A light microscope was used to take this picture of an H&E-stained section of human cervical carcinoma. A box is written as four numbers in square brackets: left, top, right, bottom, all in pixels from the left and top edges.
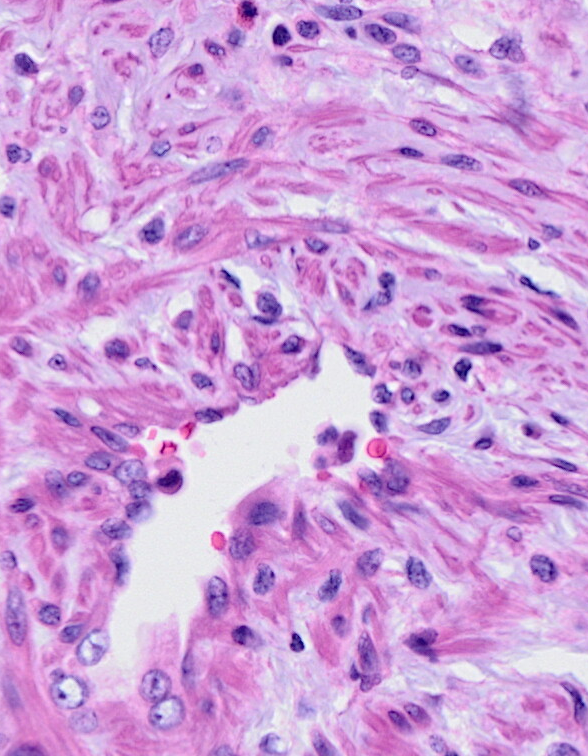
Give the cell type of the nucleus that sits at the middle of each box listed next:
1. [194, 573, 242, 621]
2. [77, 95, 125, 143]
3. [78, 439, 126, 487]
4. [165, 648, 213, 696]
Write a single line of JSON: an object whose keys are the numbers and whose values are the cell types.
{"1": "endothelial cell", "2": "macrophage or monocyte", "3": "endothelial cell", "4": "endothelial cell"}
